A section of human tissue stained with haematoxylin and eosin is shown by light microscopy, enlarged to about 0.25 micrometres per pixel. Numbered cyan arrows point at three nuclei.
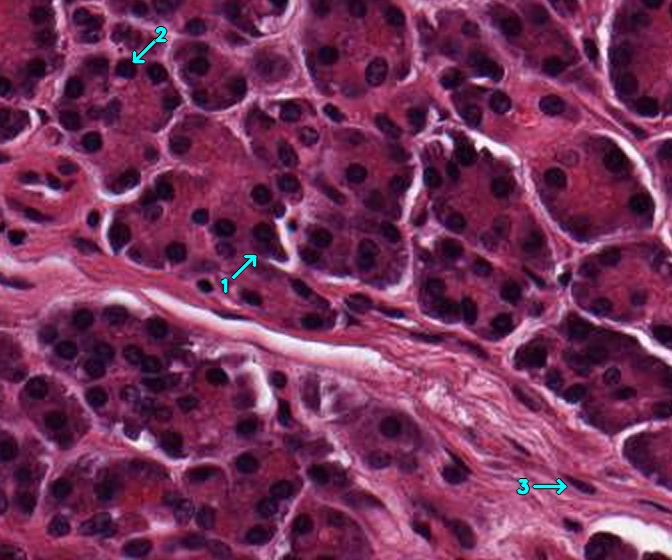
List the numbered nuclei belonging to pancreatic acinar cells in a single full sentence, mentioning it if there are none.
The nuclei given the numbers 1 and 2 belong to pancreatic acinar cells.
